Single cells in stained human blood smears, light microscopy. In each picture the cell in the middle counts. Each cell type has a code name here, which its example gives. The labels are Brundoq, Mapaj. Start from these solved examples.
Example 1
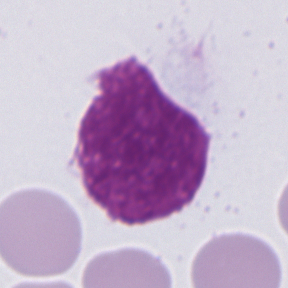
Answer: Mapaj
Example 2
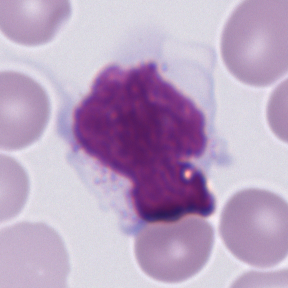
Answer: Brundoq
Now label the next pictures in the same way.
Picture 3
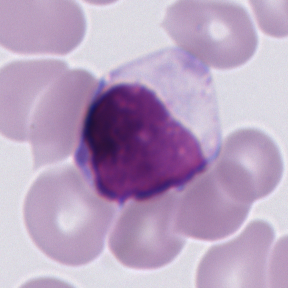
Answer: Brundoq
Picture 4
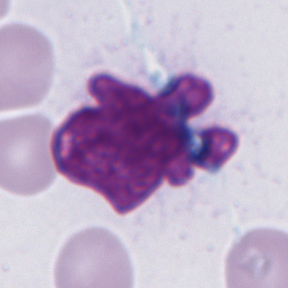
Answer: Mapaj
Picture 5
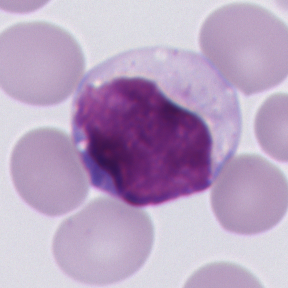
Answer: Brundoq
